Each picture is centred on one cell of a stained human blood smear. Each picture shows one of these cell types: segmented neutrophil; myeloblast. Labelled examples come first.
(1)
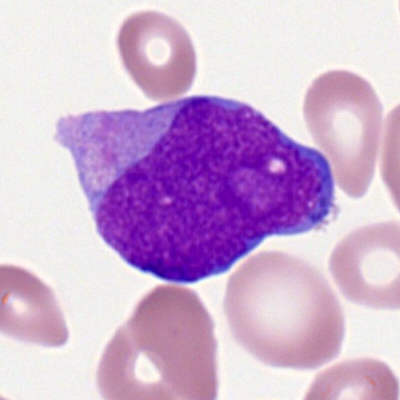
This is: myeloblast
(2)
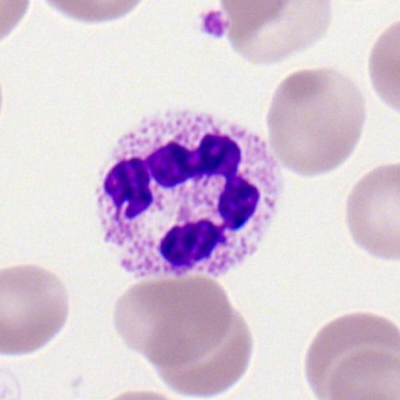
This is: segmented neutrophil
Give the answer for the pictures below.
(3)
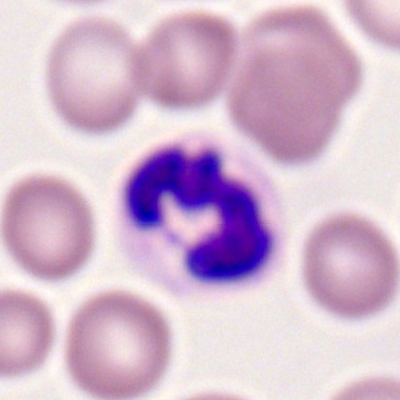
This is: segmented neutrophil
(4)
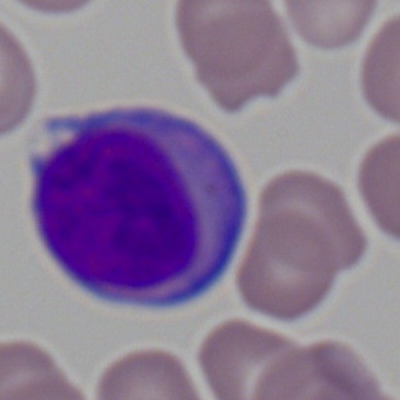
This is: myeloblast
